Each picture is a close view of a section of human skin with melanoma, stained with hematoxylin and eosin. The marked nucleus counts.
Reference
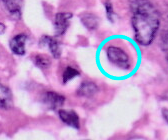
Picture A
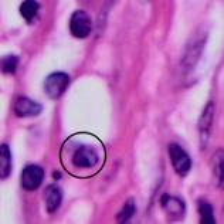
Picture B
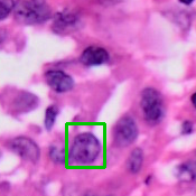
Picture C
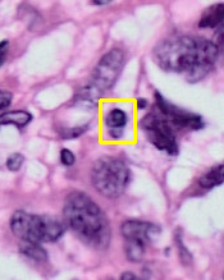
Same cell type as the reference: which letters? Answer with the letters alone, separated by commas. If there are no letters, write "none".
B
